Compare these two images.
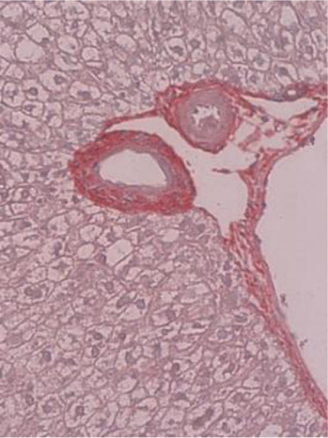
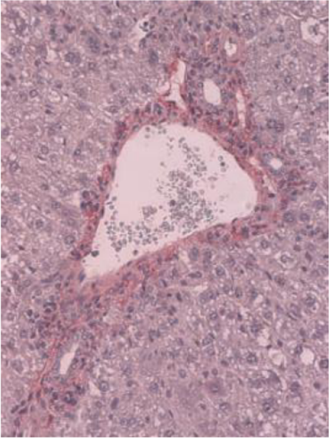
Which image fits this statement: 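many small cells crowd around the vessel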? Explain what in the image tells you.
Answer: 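The second image. Second image: the vessel wall is ringed by a dense layer of small cells with dark purple nuclei. First image: the vessel walls are bordered only by sparse, flattened cells, with few nuclei around them.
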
